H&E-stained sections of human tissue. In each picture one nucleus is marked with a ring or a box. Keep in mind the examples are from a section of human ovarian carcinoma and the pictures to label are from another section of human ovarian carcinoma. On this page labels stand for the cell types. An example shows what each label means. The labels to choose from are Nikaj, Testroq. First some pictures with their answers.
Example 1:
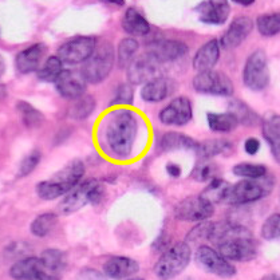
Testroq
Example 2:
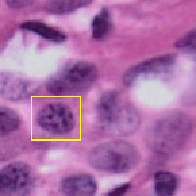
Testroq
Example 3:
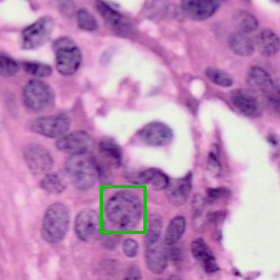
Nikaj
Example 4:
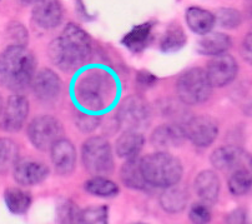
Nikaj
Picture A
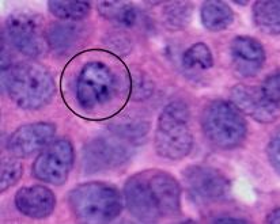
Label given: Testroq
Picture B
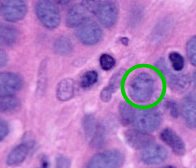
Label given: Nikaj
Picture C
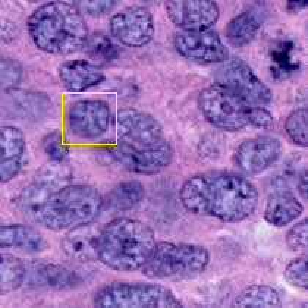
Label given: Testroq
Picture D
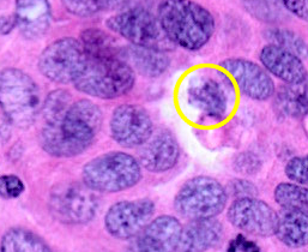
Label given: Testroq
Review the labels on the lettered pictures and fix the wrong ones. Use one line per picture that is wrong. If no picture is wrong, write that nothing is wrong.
C: Nikaj, not Testroq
